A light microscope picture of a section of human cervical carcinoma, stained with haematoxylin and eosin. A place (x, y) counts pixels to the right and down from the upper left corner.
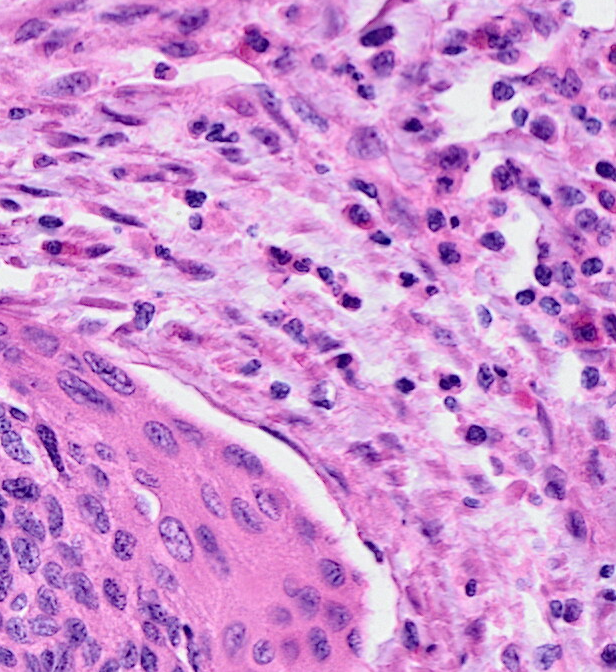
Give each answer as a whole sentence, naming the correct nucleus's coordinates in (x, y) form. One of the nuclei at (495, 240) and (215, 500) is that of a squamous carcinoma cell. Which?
Only the nucleus at (215, 500), of the two, belongs to a squamous carcinoma cell.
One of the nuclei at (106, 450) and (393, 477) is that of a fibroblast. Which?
Of the two nuclei, the one at (393, 477) belongs to a fibroblast.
